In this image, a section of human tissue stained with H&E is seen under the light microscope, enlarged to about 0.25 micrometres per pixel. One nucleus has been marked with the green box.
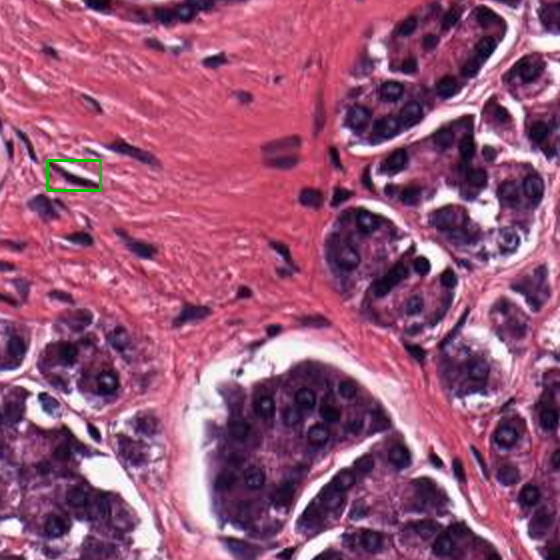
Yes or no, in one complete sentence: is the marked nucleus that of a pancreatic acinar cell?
No, the marked nucleus is found in a supporting cell instead of in a pancreatic acinar cell.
